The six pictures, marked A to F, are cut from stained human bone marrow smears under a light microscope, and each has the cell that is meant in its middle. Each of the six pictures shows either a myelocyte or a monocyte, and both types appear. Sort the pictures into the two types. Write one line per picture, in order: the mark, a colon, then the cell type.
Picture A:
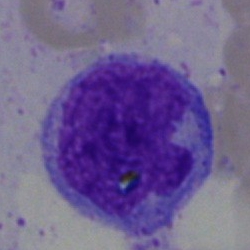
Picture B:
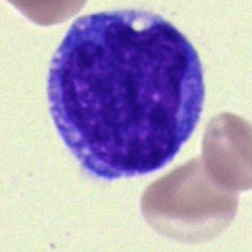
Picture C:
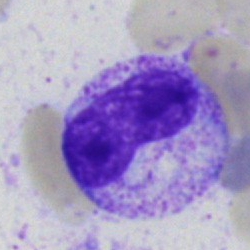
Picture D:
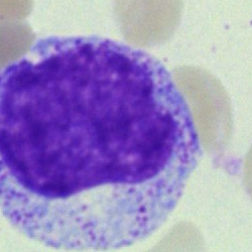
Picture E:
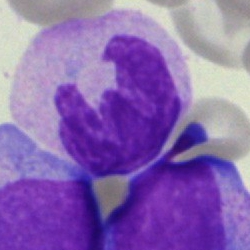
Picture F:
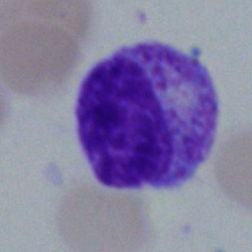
A: monocyte
B: monocyte
C: myelocyte
D: myelocyte
E: monocyte
F: myelocyte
